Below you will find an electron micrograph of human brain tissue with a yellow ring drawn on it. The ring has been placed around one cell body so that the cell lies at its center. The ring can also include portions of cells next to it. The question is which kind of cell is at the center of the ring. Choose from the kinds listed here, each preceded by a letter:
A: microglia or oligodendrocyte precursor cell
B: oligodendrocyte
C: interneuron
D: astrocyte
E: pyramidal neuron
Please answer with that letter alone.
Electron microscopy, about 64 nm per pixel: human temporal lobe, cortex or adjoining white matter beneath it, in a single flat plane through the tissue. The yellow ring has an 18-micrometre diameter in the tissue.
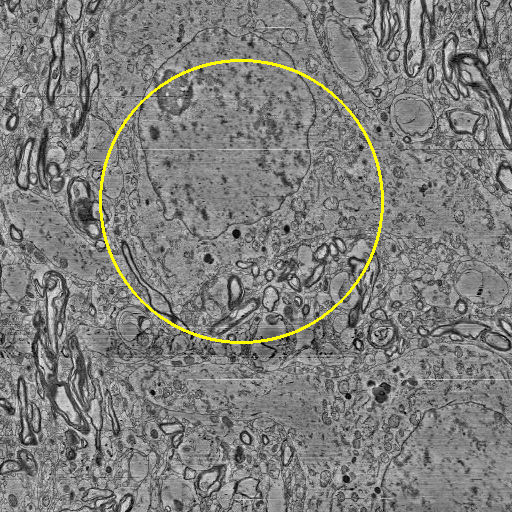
E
